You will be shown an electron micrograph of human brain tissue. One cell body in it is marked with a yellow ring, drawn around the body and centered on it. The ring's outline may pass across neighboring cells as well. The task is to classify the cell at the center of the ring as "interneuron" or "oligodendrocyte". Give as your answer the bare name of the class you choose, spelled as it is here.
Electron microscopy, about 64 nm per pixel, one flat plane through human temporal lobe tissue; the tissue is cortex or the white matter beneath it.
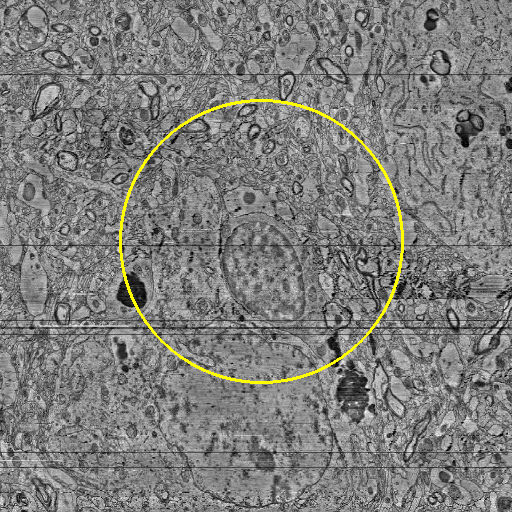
oligodendrocyte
